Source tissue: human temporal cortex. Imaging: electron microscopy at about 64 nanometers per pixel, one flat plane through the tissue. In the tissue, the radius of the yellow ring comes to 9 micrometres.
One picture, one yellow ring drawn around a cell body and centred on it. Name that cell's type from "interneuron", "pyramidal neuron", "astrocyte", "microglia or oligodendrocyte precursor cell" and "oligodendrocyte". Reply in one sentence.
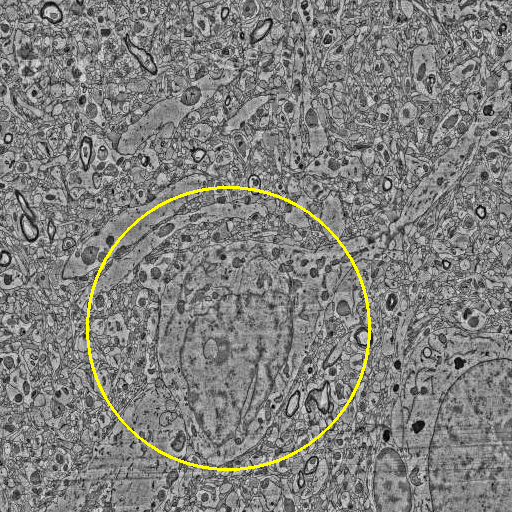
Centred in the ring is an interneuron.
